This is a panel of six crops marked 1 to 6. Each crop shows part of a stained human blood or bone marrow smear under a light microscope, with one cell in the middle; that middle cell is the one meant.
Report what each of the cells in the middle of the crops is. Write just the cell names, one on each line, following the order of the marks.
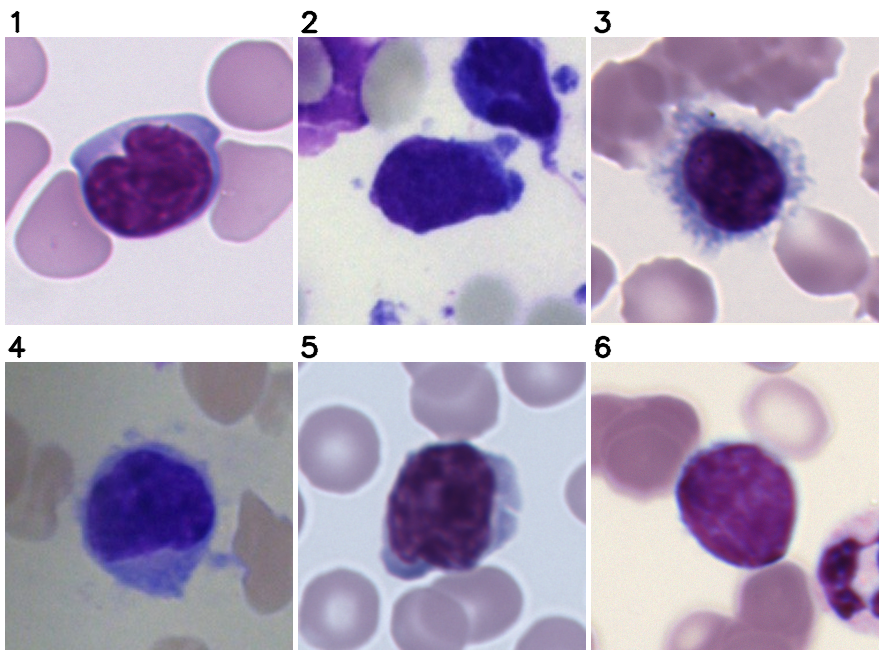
lymphocyte
blast
hairy cell
hairy cell
lymphocyte
lymphocyte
